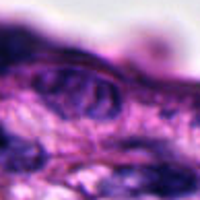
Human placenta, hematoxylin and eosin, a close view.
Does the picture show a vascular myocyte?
No, it shows a cytotrophoblast.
